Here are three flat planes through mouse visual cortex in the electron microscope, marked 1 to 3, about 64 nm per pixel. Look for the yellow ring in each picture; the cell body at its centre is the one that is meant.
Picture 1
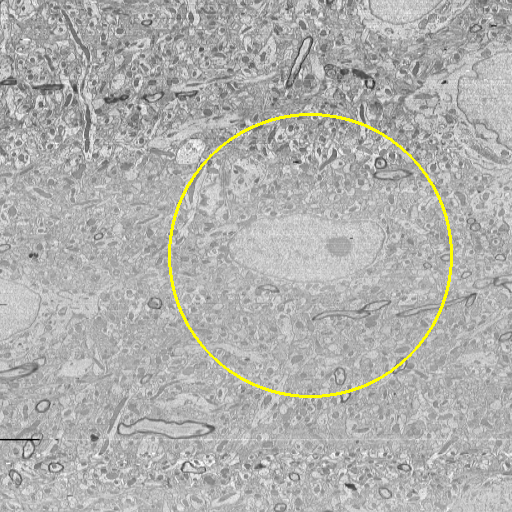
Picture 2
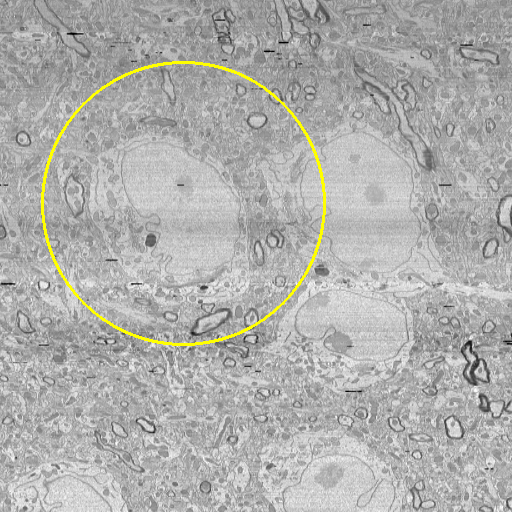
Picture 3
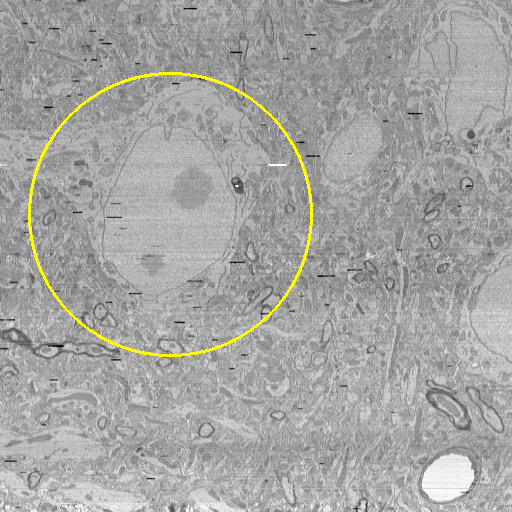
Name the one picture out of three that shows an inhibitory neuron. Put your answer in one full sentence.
Picture 2 is the one that shows the inhibitory neuron.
